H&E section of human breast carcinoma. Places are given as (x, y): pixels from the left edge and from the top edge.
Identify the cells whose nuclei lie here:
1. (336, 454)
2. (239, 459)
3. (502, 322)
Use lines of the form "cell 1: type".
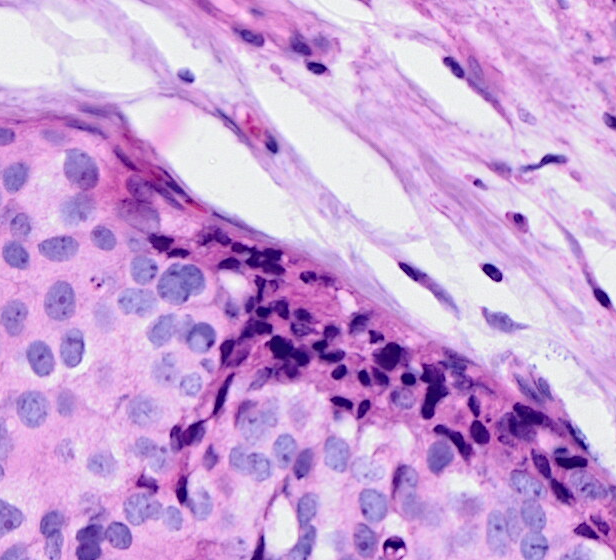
cell 1: carcinoma cell
cell 2: carcinoma cell
cell 3: fibroblast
